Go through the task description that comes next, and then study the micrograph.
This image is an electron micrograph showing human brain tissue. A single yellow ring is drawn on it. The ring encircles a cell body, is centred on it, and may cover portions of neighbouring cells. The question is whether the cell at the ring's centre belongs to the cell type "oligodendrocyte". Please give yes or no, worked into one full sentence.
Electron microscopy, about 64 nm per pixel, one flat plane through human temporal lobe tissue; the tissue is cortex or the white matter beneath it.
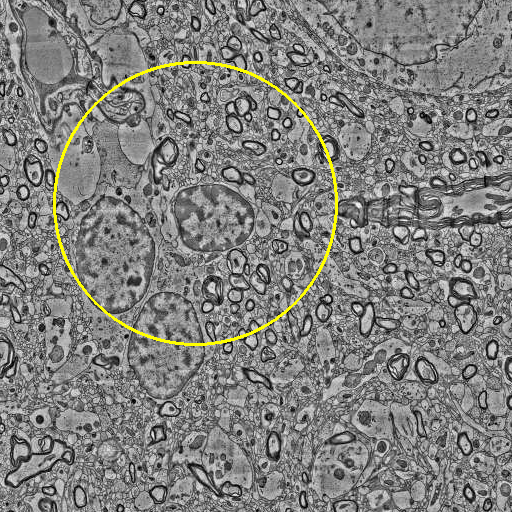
No, the cell that the ring is centred on in the micrograph is of another kind.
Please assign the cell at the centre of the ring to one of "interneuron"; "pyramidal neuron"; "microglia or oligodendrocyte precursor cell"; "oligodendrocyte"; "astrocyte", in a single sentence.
The cell that the ring is centred on is a microglial cell or oligodendrocyte precursor cell.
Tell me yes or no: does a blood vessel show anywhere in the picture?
Yes, a vessel appears in the picture.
